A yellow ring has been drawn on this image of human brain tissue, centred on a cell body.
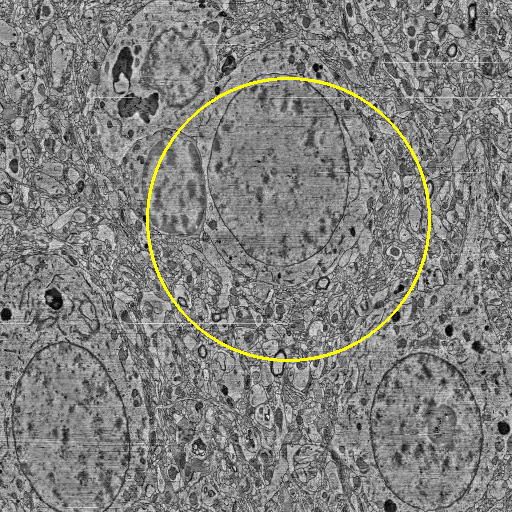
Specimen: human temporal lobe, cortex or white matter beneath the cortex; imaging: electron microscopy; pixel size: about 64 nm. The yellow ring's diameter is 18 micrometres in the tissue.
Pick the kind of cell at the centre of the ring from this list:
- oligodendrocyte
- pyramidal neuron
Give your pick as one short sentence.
The centre of the ring holds a pyramidal neuron.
